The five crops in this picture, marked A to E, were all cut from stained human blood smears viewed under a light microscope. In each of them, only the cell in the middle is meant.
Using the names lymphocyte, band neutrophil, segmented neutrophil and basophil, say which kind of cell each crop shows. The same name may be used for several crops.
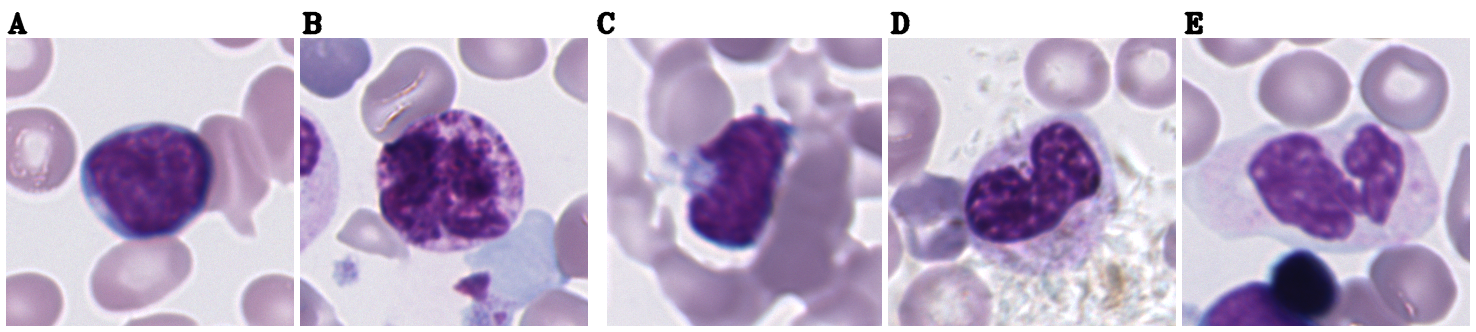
A: lymphocyte
B: basophil
C: lymphocyte
D: band neutrophil
E: segmented neutrophil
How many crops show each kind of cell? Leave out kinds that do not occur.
lymphocyte: 2
basophil: 1
band neutrophil: 1
segmented neutrophil: 1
